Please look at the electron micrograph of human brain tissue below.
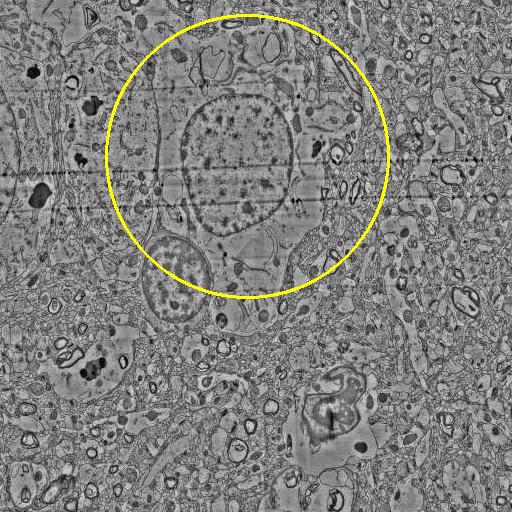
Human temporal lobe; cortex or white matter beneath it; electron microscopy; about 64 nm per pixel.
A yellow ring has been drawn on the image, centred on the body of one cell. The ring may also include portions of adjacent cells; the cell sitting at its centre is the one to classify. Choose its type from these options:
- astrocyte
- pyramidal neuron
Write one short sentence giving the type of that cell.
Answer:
The cell in the middle of the ring is an astrocyte.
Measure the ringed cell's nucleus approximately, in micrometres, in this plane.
In this plane, about 9 micrometres in length and 7 in width.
